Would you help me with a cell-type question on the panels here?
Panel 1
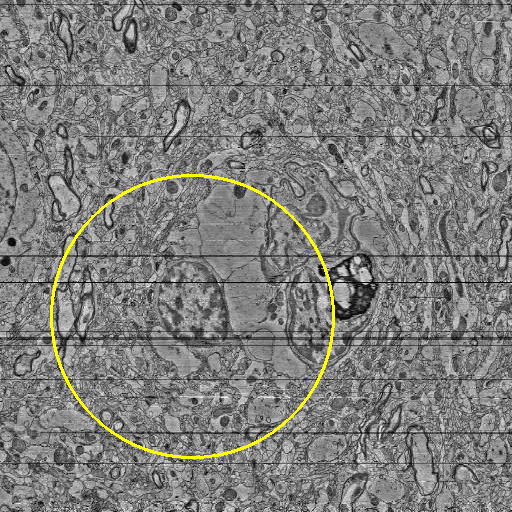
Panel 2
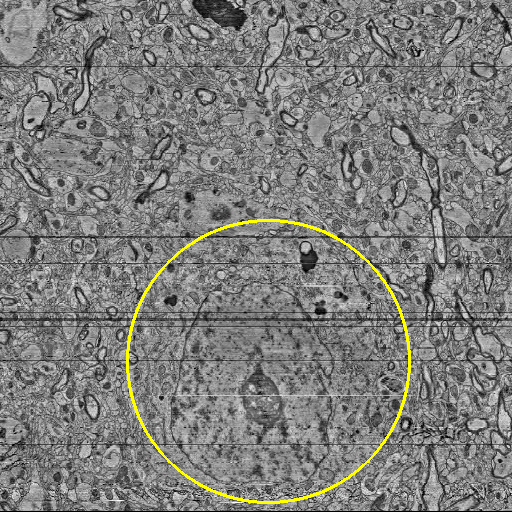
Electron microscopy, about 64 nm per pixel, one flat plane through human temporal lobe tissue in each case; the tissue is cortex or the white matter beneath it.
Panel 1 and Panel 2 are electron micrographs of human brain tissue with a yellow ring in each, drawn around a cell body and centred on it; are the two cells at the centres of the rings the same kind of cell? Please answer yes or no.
no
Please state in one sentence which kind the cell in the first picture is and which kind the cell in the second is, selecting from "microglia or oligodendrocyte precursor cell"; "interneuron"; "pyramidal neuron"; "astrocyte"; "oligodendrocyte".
The first ringed cell is an oligodendrocyte, the second ringed cell a pyramidal neuron.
